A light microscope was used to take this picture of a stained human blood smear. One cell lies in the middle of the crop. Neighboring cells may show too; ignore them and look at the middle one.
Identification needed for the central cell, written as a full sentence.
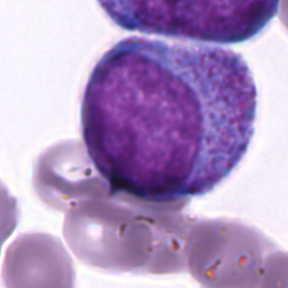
The cell positioned in the middle of the field is a promyelocyte.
